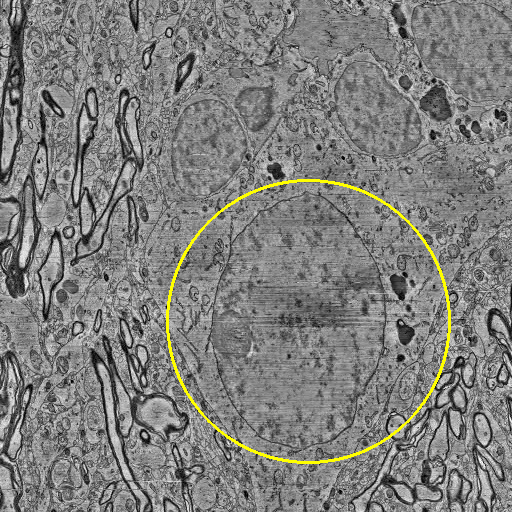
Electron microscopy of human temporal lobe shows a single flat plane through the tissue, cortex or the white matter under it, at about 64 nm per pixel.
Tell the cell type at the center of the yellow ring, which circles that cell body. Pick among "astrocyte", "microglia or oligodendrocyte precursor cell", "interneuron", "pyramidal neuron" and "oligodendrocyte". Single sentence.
The ring is centered on the body of a pyramidal neuron.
